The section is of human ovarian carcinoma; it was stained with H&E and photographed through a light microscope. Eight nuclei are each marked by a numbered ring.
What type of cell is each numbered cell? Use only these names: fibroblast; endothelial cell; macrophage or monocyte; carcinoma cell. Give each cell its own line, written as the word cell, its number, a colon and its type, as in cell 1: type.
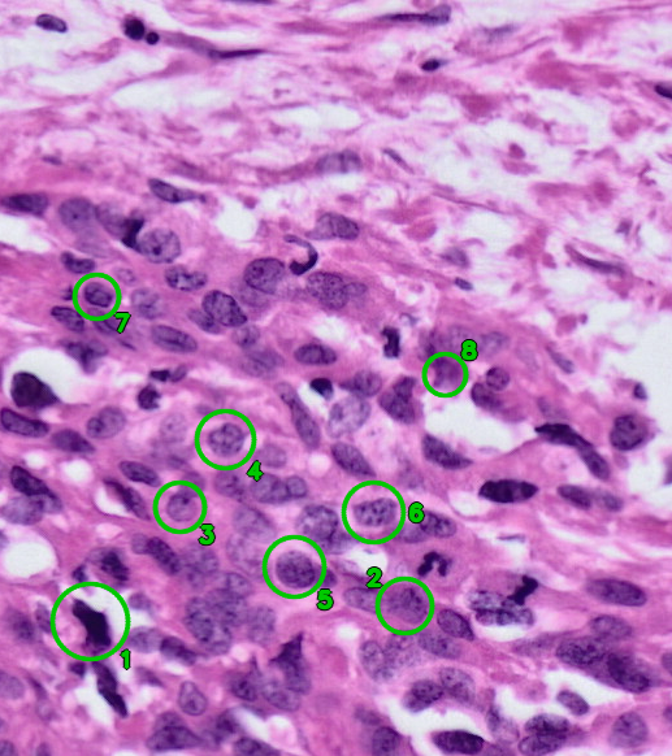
cell 1: carcinoma cell
cell 2: carcinoma cell
cell 3: macrophage or monocyte
cell 4: macrophage or monocyte
cell 5: carcinoma cell
cell 6: macrophage or monocyte
cell 7: macrophage or monocyte
cell 8: carcinoma cell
